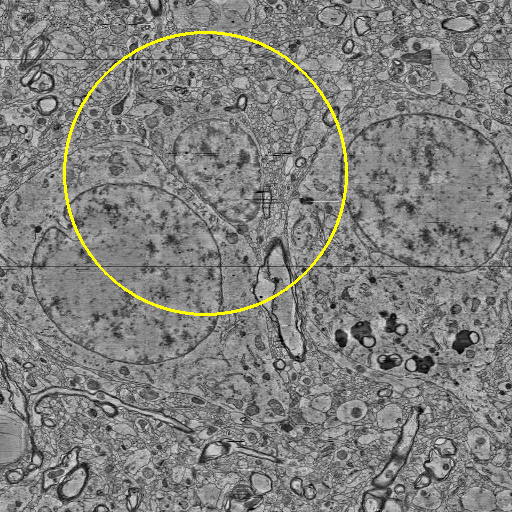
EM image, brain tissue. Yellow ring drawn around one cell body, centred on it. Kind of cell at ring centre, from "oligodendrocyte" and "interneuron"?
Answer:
oligodendrocyte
